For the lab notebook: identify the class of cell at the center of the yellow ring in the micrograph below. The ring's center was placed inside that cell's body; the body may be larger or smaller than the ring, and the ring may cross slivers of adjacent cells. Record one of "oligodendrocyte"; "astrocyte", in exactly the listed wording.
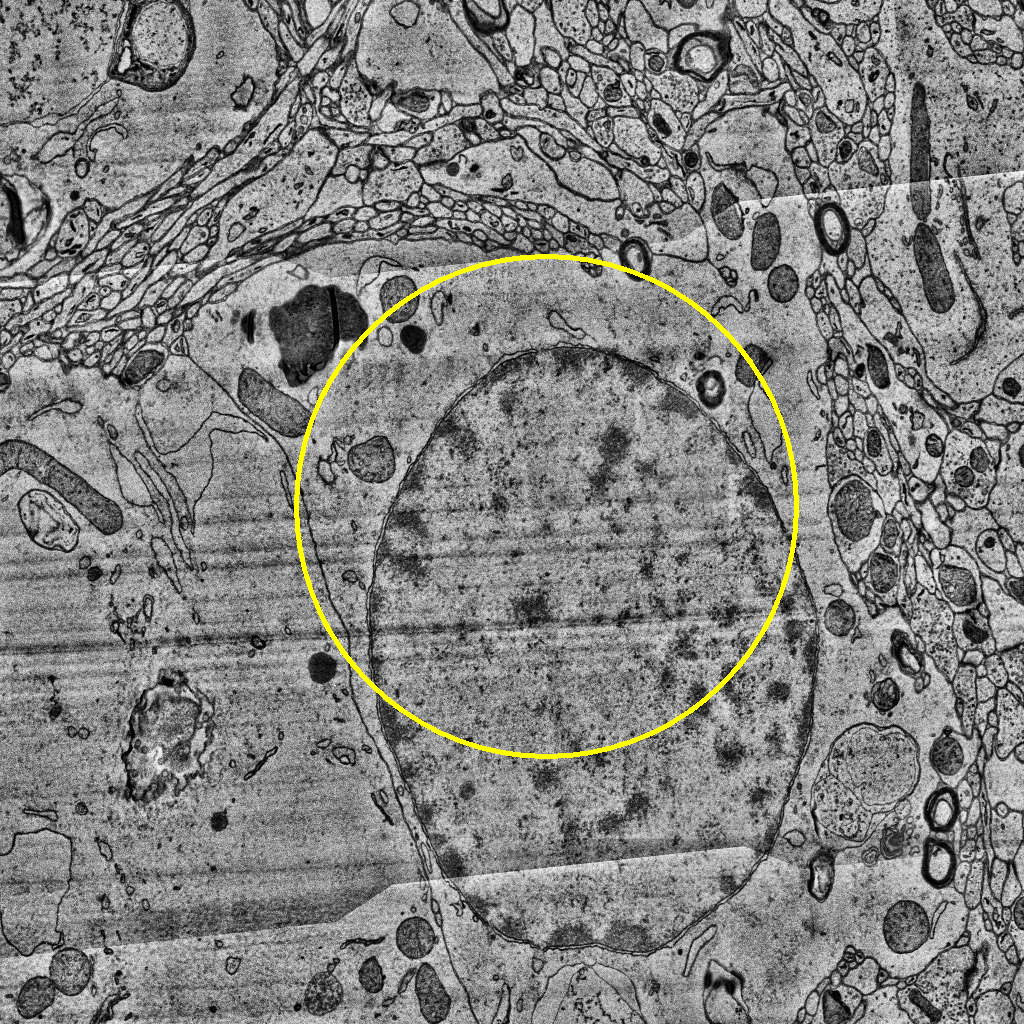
astrocyte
